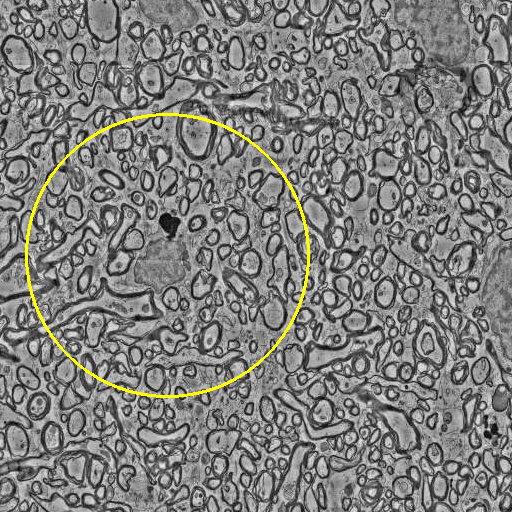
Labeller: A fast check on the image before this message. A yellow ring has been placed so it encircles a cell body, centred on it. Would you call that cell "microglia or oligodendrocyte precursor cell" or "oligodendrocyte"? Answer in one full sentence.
In this image, an oligodendrocyte is the cell on which the yellow ring is centred.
